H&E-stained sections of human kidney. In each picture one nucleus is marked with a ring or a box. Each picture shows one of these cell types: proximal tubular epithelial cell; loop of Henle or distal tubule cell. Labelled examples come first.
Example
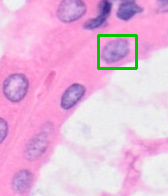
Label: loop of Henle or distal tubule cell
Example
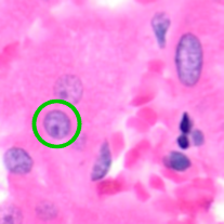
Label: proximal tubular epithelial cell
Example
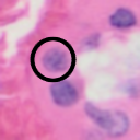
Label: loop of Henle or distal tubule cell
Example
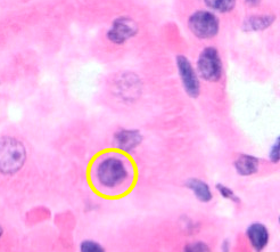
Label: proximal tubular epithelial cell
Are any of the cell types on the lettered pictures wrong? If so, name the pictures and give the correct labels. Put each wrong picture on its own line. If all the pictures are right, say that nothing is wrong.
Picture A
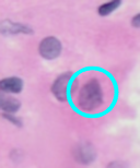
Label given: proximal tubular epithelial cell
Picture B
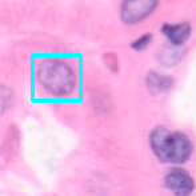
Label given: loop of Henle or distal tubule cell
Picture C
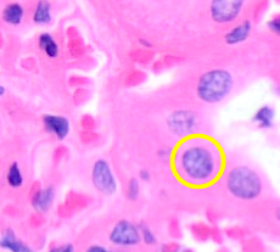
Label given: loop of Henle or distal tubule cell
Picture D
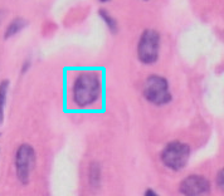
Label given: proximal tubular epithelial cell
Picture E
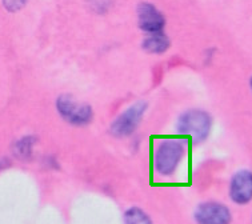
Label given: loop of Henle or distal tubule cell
B: proximal tubular epithelial cell, not loop of Henle or distal tubule cell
